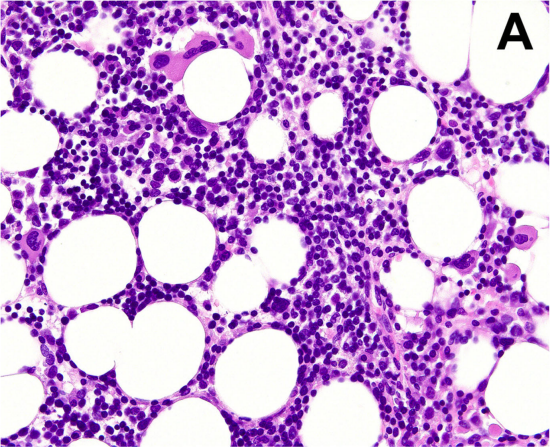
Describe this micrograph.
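This section of bone marrow is hypercellular, with dense sheets of hematopoietic cells packed between round, empty fat spaces. Scattered among them are large megakaryocytes with abundant pink cytoplasm and dark, irregular nuclei. Numerous small round cells with dark nuclei and scant cytoplasm lie spread through the interstitium between the other marrow cells.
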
